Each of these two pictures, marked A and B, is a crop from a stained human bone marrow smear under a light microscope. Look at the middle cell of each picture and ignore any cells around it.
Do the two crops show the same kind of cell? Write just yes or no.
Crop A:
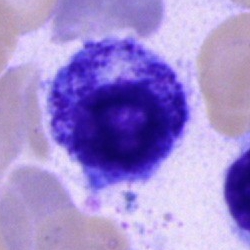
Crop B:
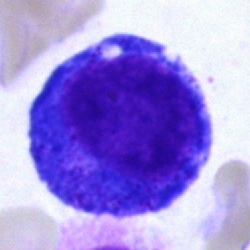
yes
